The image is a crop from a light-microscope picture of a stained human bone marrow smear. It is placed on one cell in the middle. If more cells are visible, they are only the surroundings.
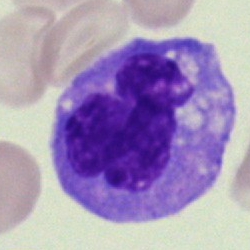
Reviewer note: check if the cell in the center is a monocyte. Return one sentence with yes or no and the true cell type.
Yes, that is a monocyte in the middle of the crop.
